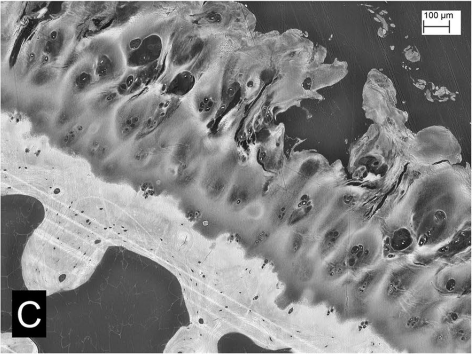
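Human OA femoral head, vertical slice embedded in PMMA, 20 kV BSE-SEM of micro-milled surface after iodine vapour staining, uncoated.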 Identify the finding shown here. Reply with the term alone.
Chondrocyte clustering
